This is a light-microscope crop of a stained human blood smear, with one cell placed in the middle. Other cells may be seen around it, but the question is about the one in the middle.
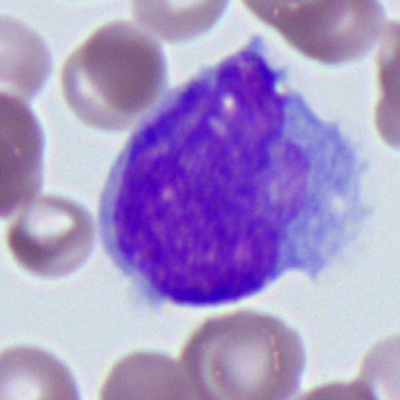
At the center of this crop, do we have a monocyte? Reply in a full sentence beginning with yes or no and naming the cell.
Yes, the one cell at the centre is a monocyte.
